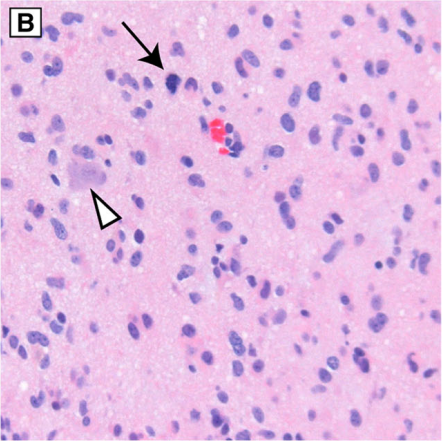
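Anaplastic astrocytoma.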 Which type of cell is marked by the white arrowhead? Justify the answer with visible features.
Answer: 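The marked cell is larger than its neighbours with a pale purple cytoplasm.
Hence: non-neoplastic neuron.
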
